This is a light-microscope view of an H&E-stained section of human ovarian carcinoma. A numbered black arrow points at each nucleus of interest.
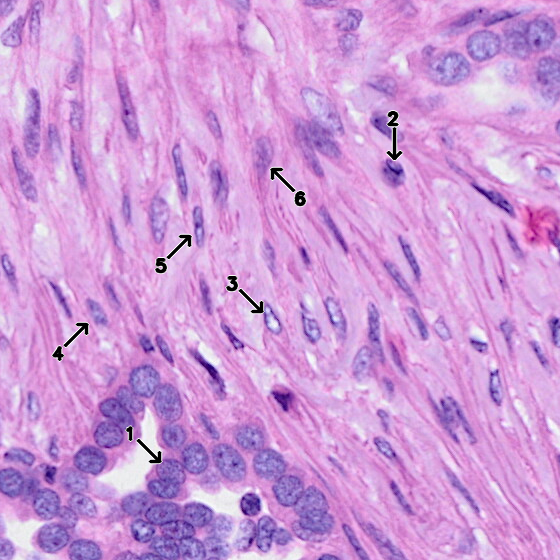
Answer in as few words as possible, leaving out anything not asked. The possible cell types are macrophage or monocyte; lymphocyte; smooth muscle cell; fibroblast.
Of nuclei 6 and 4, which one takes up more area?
6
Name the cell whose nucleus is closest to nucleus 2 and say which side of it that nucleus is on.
a fibroblast, above nucleus 2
